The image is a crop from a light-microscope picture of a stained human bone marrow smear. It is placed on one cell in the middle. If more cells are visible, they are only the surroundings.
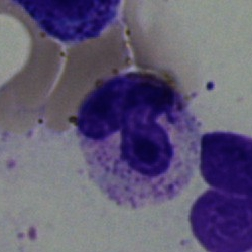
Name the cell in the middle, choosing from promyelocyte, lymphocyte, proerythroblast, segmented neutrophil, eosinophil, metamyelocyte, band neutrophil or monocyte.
segmented neutrophil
